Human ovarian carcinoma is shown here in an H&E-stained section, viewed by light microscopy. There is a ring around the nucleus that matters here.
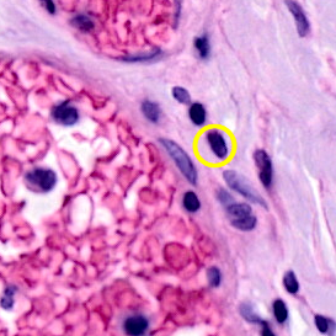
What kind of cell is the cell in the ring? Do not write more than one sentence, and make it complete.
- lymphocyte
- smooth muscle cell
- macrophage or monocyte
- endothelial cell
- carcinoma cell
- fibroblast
The cell type of the cell in the ring is that of a lymphocyte.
